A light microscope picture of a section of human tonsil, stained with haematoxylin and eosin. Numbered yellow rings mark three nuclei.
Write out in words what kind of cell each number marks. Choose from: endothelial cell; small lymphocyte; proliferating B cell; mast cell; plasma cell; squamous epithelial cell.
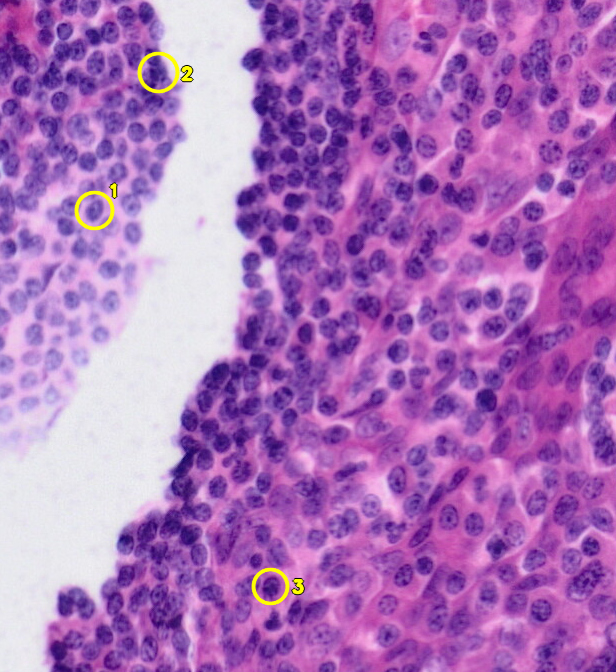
Cell 1 is a small lymphocyte, cell 2 is a small lymphocyte and cell 3 is a plasma cell.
